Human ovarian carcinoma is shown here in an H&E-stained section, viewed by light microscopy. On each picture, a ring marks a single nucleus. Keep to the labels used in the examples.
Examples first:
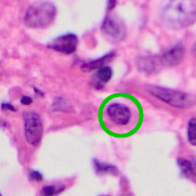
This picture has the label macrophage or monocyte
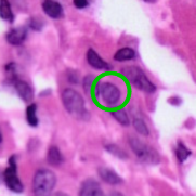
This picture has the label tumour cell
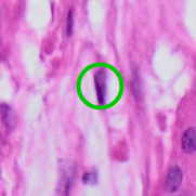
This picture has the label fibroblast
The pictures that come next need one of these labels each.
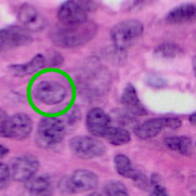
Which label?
tumour cell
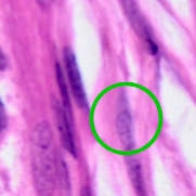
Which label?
fibroblast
